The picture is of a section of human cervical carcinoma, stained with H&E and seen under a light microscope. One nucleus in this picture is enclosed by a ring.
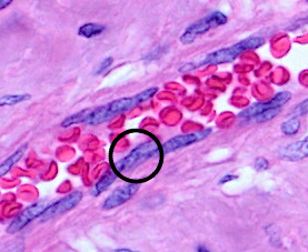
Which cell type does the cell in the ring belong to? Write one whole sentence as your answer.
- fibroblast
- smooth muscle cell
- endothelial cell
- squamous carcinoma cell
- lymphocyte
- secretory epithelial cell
The cell in the ring is an endothelial cell.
